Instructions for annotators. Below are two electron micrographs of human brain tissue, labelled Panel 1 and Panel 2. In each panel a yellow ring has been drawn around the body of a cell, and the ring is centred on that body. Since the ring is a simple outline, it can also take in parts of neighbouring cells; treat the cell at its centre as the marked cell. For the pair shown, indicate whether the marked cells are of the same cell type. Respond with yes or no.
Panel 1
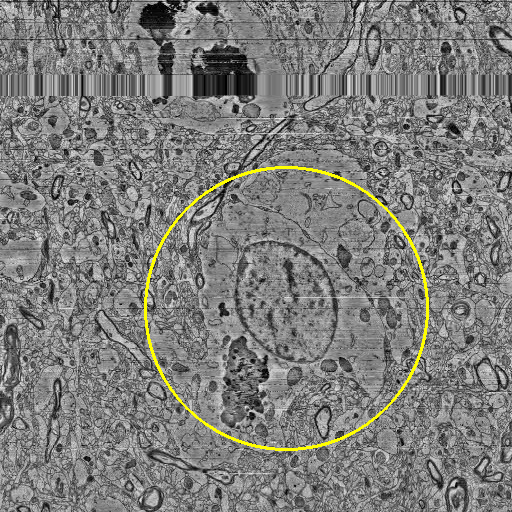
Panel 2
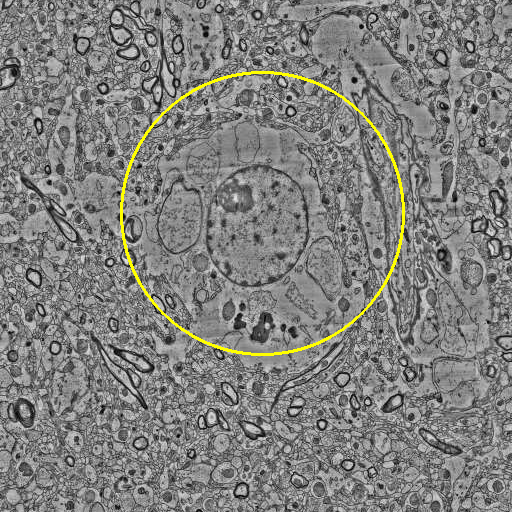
yes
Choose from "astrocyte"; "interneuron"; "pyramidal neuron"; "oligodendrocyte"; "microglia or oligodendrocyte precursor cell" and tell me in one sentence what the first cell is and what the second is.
Each of the two pictures has an astrocyte at the ring centre.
